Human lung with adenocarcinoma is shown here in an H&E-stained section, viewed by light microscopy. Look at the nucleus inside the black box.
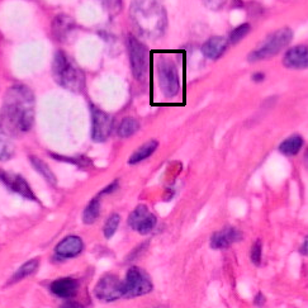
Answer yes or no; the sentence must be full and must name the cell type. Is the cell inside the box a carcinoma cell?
No, the cell inside the box is not a carcinoma cell; a ciliated epithelial cell is what it is.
